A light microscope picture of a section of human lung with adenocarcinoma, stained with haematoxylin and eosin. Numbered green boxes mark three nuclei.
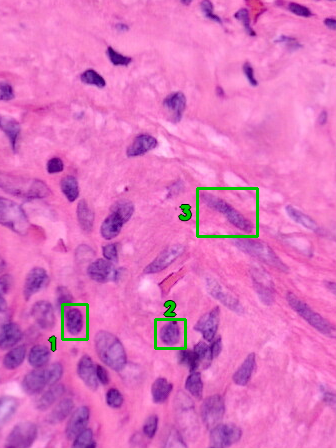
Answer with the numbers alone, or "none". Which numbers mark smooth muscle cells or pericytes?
3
